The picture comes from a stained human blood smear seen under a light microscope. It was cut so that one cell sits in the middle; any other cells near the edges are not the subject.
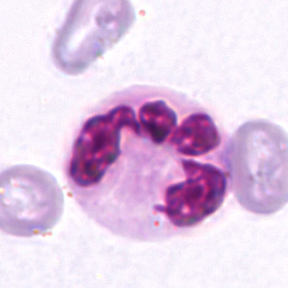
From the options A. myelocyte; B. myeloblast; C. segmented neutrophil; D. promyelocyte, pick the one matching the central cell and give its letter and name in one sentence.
Option C is the right choice, the central cell being a segmented neutrophil.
